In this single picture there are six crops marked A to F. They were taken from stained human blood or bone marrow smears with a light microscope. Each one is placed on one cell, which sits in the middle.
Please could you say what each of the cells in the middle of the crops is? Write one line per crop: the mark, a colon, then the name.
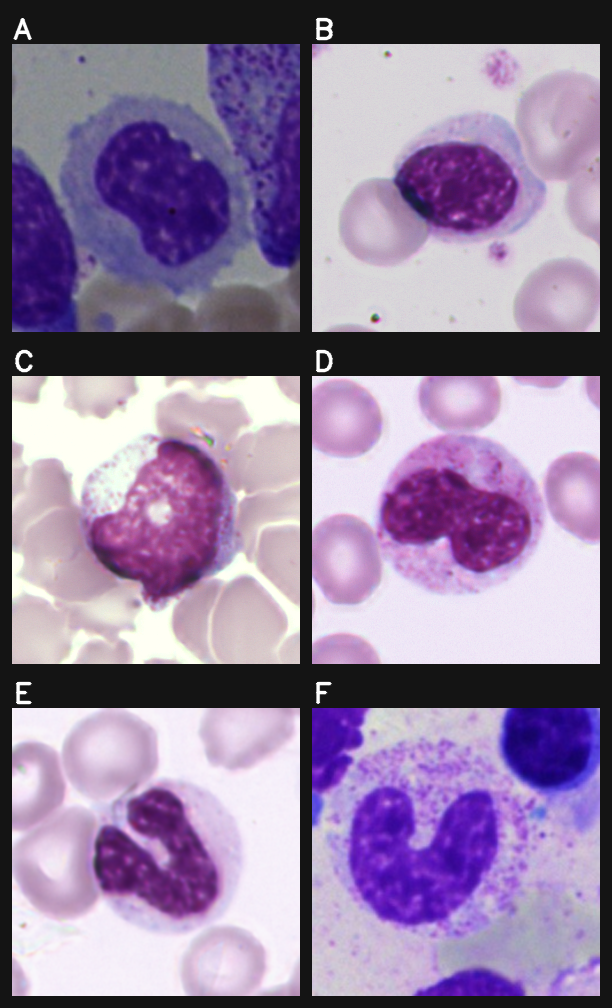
A: metamyelocyte
B: metamyelocyte
C: metamyelocyte
D: metamyelocyte
E: band neutrophil
F: band neutrophil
